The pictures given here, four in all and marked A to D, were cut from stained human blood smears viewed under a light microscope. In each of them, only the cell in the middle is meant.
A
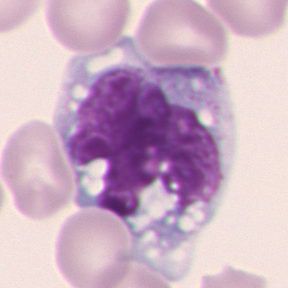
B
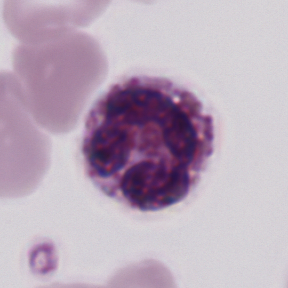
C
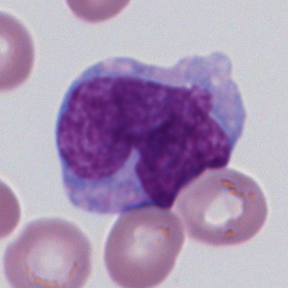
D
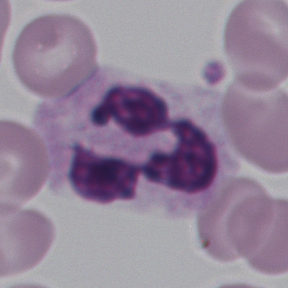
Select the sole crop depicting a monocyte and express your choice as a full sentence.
The crop with a monocyte at its center is crop A.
